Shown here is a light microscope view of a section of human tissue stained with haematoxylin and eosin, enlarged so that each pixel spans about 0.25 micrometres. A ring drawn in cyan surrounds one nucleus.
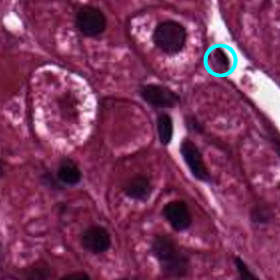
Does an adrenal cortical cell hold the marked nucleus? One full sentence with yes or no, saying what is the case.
No, rather than to an adrenal cortical cell, the marked nucleus belongs to a supporting cell.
